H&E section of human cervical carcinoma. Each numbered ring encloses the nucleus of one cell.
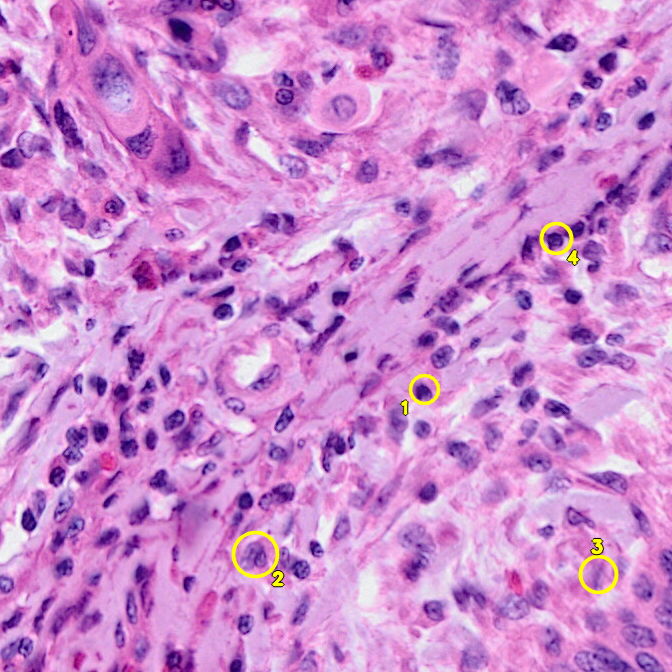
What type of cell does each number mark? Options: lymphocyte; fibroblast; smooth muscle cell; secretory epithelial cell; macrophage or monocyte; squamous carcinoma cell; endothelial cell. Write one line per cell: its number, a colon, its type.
1: lymphocyte
2: macrophage or monocyte
3: fibroblast
4: lymphocyte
